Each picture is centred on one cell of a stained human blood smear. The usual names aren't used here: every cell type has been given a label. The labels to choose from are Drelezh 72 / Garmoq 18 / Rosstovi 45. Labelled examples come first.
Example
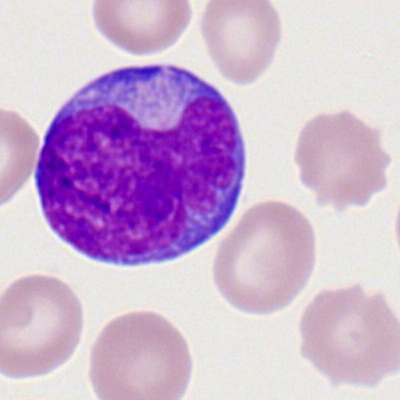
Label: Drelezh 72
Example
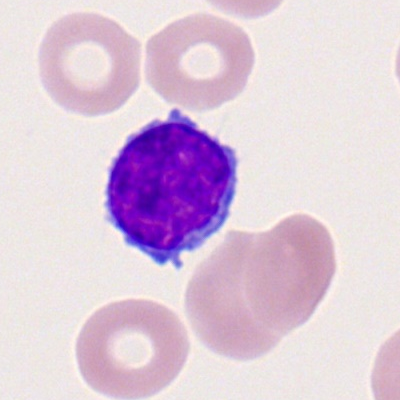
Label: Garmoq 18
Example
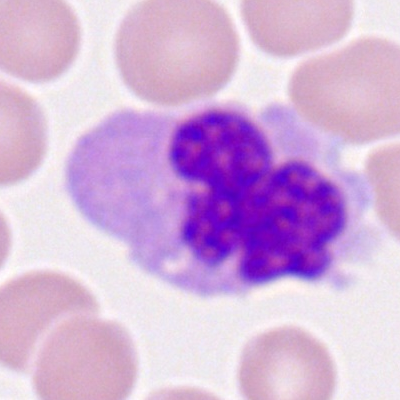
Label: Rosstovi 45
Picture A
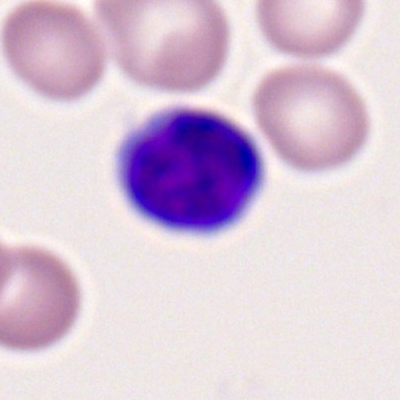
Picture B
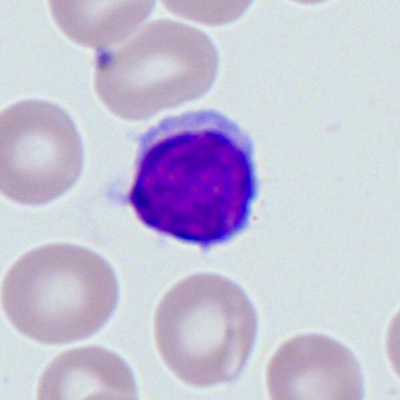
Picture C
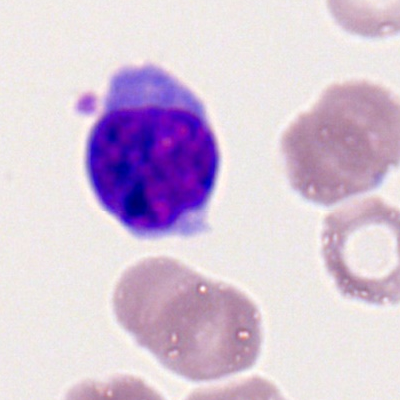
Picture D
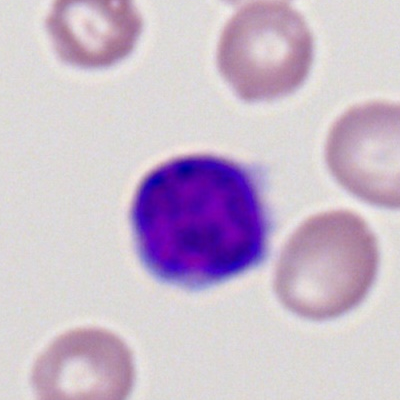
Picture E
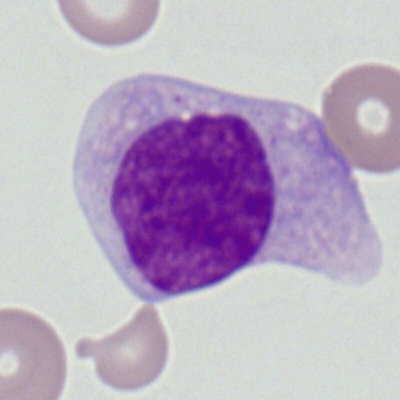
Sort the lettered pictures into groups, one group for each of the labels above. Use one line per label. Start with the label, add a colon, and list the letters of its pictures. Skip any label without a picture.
Garmoq 18: A, B, C, D
Rosstovi 45: E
